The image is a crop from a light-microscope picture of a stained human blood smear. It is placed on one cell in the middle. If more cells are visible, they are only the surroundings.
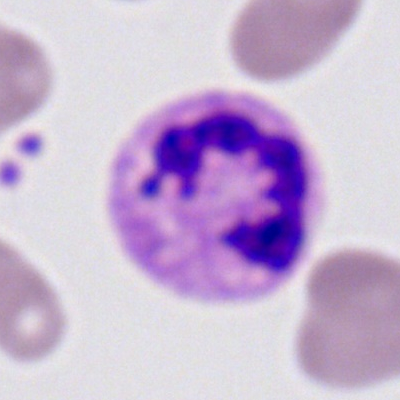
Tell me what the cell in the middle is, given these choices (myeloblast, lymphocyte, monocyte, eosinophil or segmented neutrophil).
segmented neutrophil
